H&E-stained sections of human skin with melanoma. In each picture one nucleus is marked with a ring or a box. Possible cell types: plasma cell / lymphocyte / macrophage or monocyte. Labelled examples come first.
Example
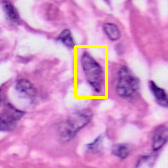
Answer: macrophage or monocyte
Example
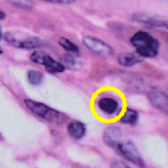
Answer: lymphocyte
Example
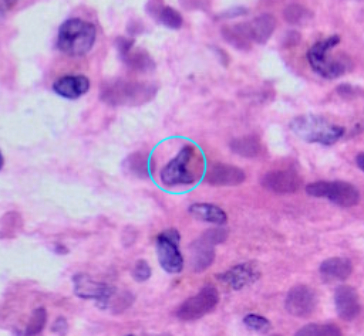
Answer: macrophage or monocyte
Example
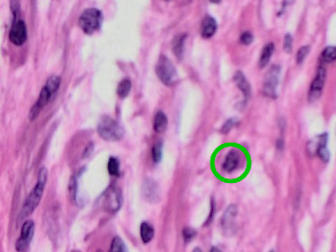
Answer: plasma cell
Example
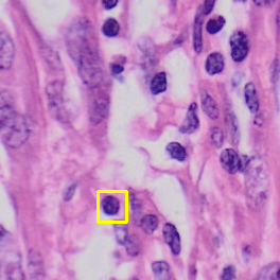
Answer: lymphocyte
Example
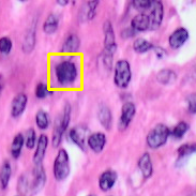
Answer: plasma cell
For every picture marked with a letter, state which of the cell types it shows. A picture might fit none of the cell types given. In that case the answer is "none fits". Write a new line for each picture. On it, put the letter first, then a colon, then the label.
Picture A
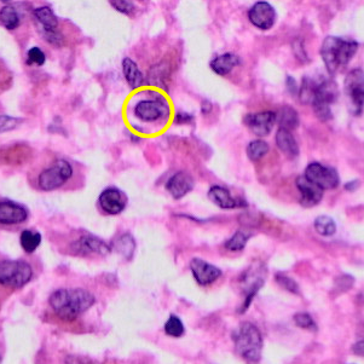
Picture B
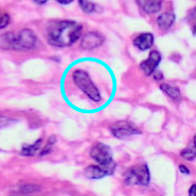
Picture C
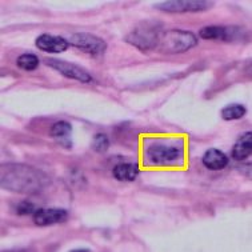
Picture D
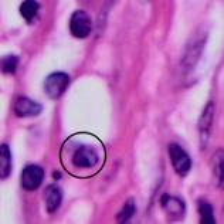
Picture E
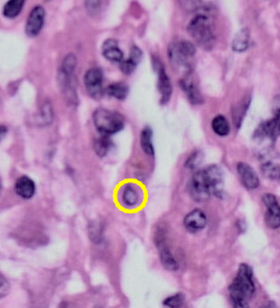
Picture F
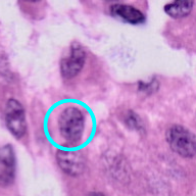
A: macrophage or monocyte
B: macrophage or monocyte
C: plasma cell
D: lymphocyte
E: macrophage or monocyte
F: none fits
